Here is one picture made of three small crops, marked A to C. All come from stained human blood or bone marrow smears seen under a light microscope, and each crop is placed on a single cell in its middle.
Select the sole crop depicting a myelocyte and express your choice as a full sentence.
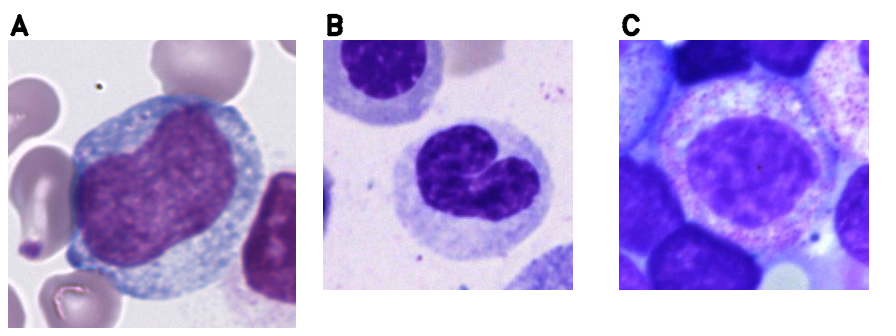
Crop C is the right one; it is the crop showing a myelocyte.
